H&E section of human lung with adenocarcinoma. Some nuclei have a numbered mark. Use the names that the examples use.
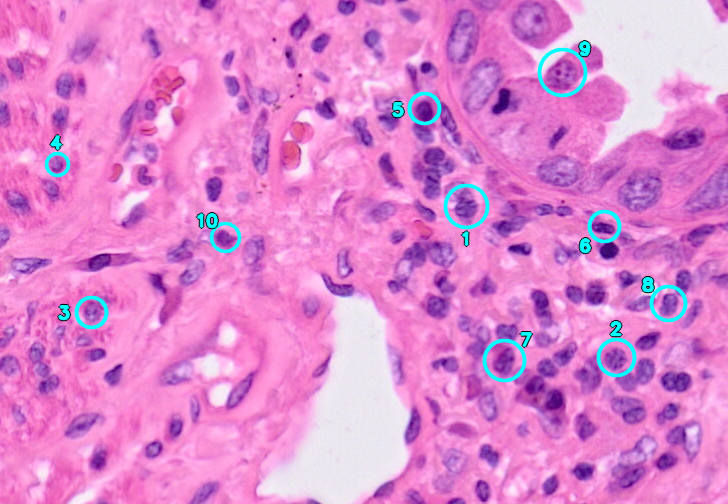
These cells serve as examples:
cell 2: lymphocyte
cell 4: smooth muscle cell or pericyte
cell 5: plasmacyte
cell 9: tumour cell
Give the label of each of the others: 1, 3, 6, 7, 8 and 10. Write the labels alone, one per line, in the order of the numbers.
lymphocyte
smooth muscle cell or pericyte
lymphocyte
plasmacyte
lymphocyte
plasmacyte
